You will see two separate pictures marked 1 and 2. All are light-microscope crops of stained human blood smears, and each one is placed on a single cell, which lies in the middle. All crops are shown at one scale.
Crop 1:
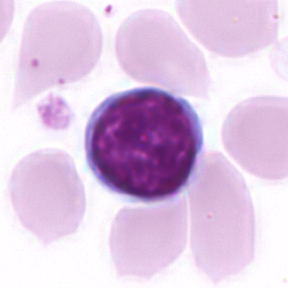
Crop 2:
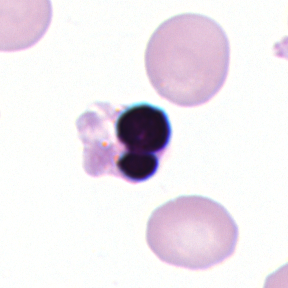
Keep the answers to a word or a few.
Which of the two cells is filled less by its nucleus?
2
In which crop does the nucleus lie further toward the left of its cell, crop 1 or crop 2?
1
